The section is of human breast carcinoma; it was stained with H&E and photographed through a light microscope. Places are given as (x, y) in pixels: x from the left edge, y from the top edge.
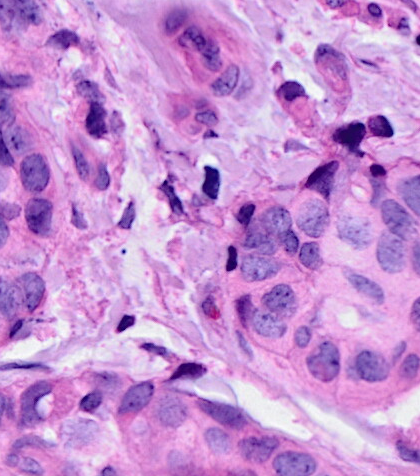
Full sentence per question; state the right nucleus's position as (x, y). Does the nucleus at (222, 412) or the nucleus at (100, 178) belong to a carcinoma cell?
The nucleus found at (222, 412) belongs to a carcinoma cell.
